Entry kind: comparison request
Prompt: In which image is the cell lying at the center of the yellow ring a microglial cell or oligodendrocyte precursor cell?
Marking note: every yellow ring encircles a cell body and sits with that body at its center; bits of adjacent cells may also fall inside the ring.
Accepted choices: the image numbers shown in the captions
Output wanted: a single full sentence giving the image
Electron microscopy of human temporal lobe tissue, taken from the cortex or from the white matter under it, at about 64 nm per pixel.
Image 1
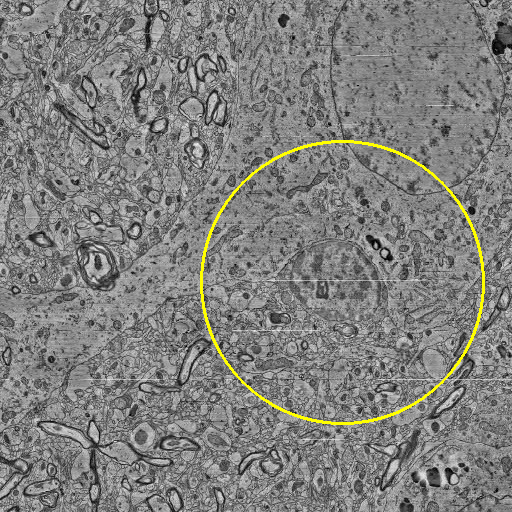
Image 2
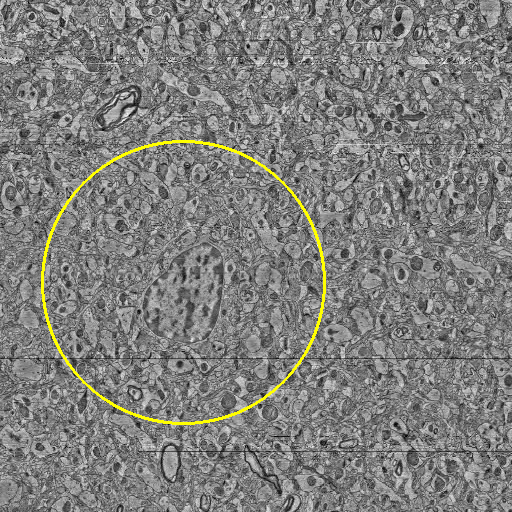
In image 2, the ringed cell at the center matches the prompt.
